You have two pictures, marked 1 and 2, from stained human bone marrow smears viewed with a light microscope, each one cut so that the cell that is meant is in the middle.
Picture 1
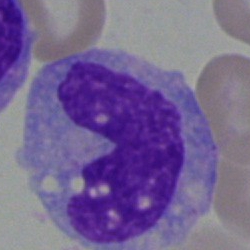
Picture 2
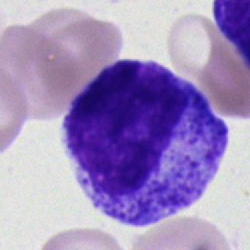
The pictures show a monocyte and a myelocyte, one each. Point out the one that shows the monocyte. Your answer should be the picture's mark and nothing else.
1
